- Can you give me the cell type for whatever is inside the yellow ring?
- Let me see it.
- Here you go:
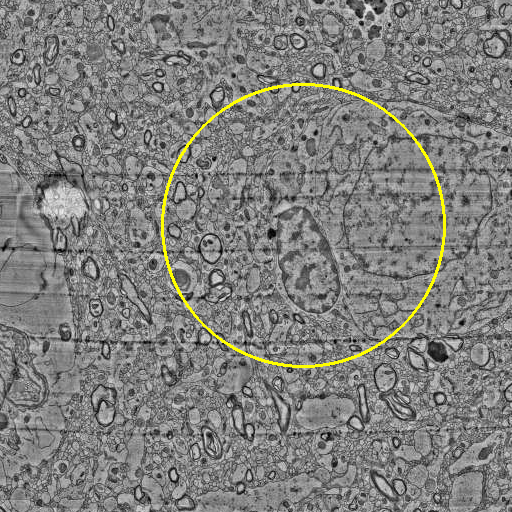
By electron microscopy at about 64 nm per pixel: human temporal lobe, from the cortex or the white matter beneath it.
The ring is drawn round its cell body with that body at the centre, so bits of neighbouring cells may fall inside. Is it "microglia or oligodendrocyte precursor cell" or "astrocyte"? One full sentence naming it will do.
The cell body in the middle of the ring in this picture belongs to a microglial cell or oligodendrocyte precursor cell.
